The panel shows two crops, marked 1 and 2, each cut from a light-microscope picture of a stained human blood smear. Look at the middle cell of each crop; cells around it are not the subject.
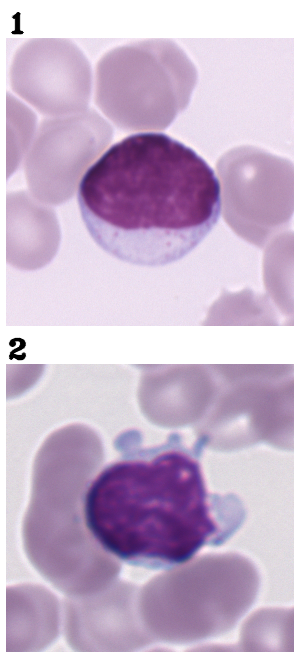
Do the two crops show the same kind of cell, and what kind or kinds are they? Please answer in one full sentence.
Yes, the cells under consideration in both crops are large granular lymphocytes.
